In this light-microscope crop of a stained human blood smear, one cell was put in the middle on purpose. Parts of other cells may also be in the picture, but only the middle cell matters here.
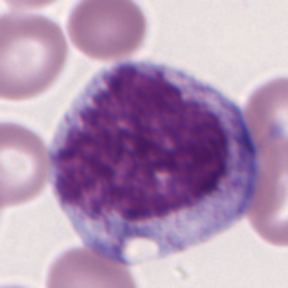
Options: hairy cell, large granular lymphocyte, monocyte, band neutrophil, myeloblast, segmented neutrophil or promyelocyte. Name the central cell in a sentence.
The centered cell in this crop is a promyelocyte.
